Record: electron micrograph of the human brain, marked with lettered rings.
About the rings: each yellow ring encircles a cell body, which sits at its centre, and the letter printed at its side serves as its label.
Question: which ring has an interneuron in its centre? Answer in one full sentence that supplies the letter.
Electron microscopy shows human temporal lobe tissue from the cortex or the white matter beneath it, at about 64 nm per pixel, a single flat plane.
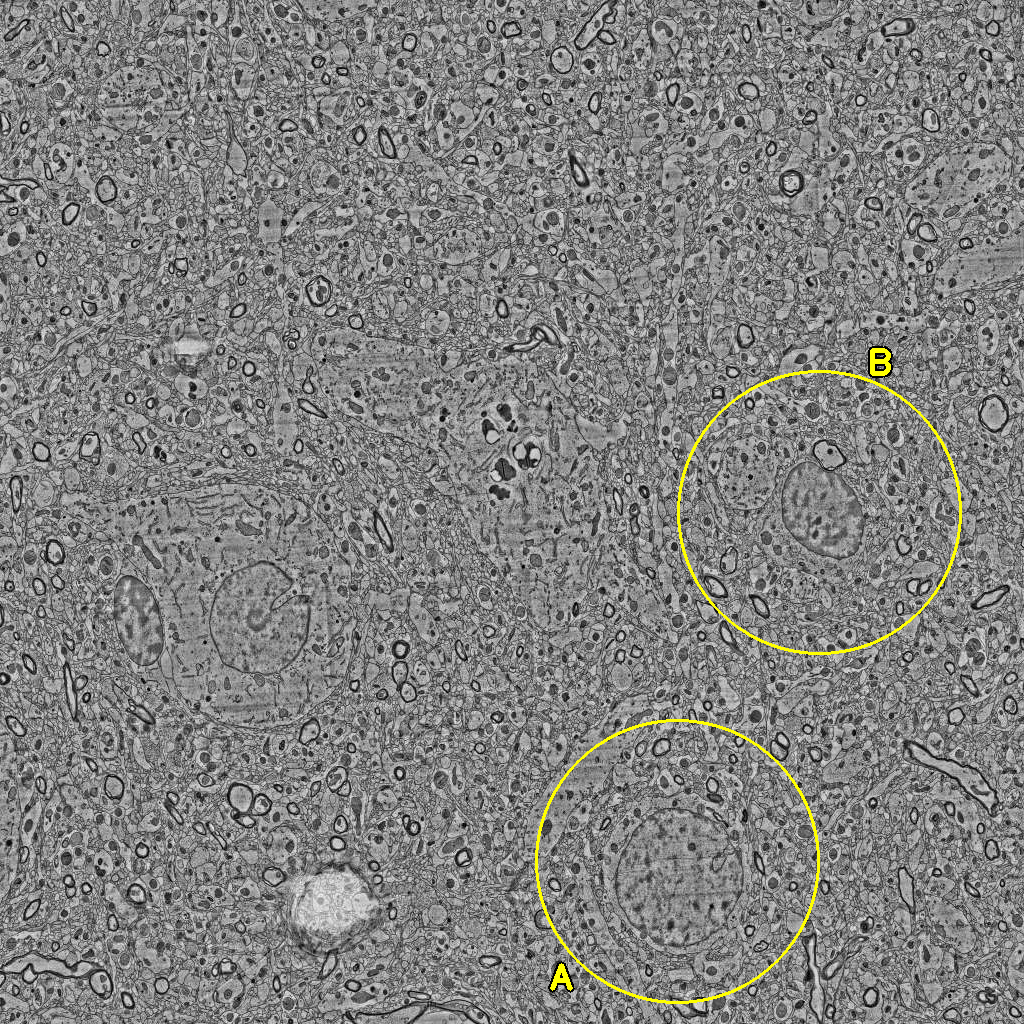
Within the picture, a cell of that kind is centred inside the ring marked A.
